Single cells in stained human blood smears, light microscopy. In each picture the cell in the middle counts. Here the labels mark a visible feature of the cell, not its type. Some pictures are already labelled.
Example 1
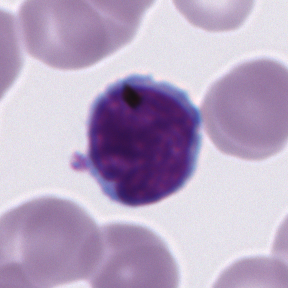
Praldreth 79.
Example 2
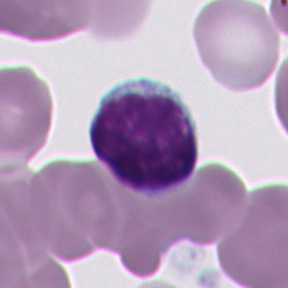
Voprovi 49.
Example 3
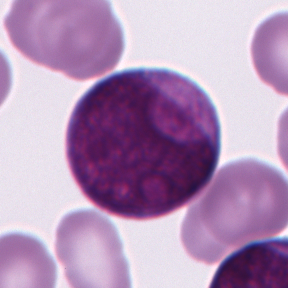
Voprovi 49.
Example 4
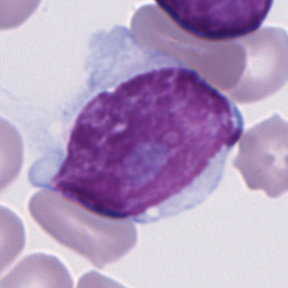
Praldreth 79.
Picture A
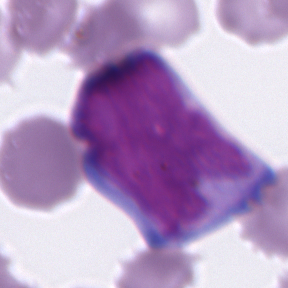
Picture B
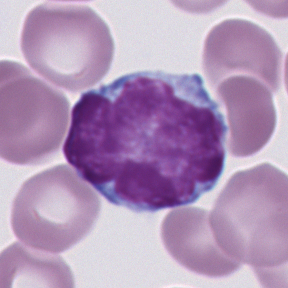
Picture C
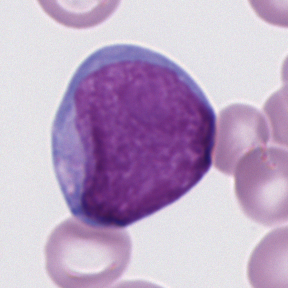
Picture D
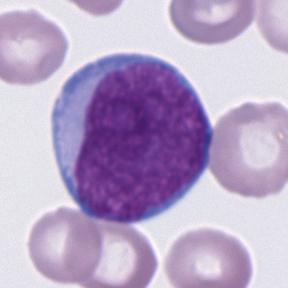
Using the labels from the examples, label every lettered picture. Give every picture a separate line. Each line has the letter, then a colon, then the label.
A: Praldreth 79.
B: Praldreth 79.
C: Voprovi 49.
D: Voprovi 49.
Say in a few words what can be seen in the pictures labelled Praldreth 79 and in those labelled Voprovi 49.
Praldreth 79: ragged outline or projections; Voprovi 49: smooth outline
